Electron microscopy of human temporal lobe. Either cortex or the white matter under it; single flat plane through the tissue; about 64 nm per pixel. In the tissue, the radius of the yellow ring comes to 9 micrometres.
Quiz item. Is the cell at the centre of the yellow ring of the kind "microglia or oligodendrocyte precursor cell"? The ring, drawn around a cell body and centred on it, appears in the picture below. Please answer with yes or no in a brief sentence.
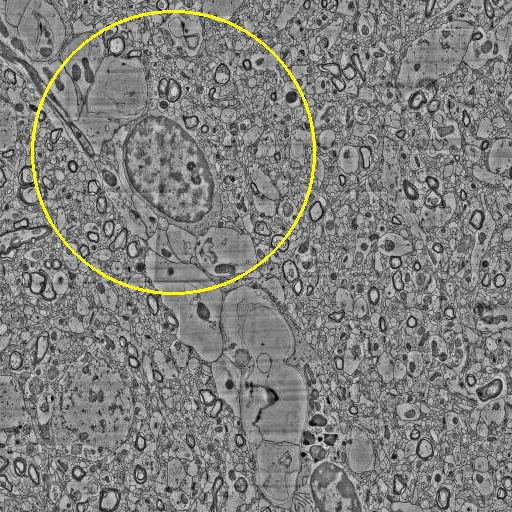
No, it is another kind of cell.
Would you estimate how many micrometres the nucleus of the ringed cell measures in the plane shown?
In this plane, approximately 7 by 5 micrometers.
